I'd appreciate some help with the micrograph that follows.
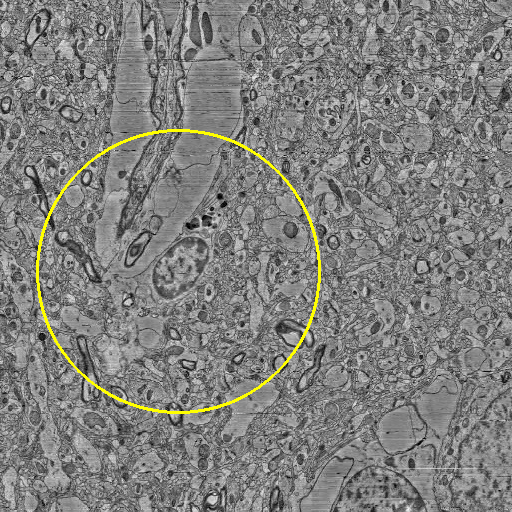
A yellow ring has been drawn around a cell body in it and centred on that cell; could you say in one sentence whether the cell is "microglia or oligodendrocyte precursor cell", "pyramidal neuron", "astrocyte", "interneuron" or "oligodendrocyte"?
It is a microglial cell or oligodendrocyte precursor cell at the centre of the ring.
